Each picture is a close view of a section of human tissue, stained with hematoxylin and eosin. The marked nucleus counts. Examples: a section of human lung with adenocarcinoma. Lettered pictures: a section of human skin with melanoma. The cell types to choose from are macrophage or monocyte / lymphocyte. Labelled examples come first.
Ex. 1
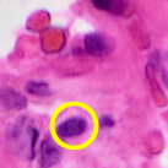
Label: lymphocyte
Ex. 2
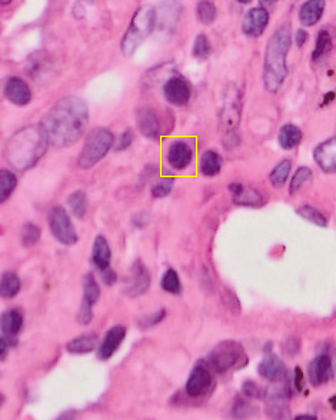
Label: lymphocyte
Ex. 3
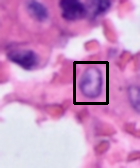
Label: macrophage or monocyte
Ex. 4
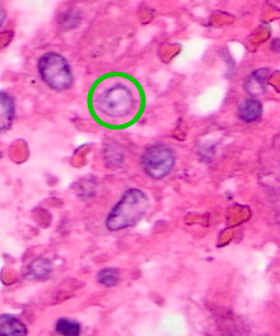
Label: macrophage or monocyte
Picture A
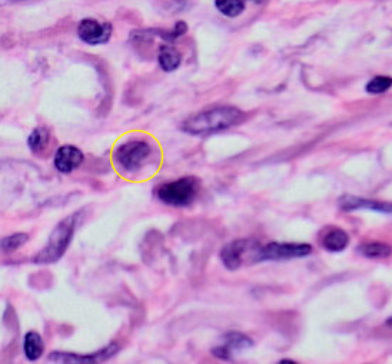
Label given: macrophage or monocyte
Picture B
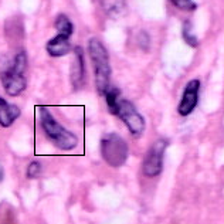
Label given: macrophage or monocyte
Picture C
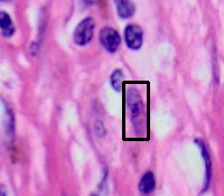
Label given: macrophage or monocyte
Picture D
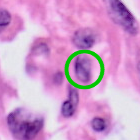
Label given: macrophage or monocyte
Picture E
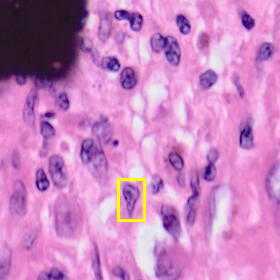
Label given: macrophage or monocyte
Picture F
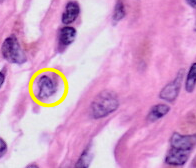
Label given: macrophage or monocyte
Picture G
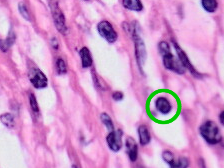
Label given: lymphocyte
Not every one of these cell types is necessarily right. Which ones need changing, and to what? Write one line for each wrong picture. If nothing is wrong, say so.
None of the labels needs changing.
